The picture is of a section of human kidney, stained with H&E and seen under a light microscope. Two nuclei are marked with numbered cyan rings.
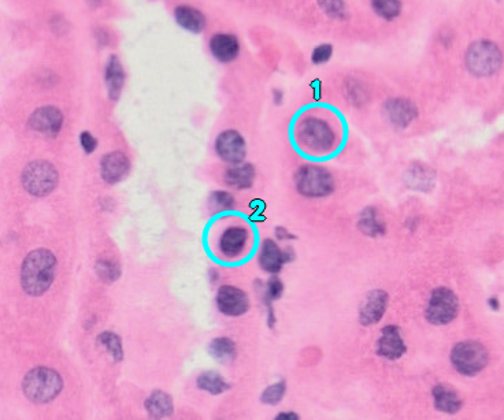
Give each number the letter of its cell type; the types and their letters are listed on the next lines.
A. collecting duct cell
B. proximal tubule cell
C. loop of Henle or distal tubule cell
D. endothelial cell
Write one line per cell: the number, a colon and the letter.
1: B
2: C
